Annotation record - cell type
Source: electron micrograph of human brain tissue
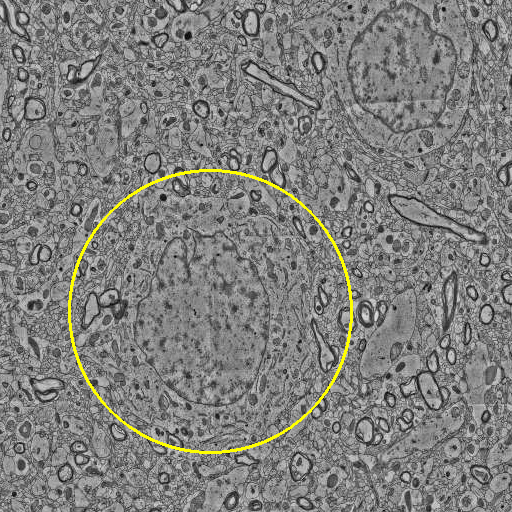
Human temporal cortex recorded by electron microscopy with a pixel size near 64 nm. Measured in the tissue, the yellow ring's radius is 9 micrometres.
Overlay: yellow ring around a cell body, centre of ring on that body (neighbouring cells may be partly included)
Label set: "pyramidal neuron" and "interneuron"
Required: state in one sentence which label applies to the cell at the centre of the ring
This cell should be labelled as an interneuron.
